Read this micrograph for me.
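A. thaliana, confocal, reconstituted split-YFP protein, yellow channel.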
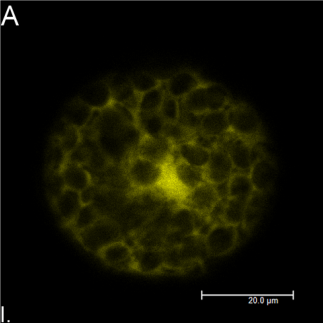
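Within a round cell, yellow fluorescence forms a fine network of thin strands outlining many dark oval holes. A brighter, denser yellow patch lies near the centre of the cell. The dark holes are where chloroplasts sit, and the yellow network is the thin cytosol squeezed between them, while the bright central patch marks the nucleus of this mesophyll protoplast.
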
